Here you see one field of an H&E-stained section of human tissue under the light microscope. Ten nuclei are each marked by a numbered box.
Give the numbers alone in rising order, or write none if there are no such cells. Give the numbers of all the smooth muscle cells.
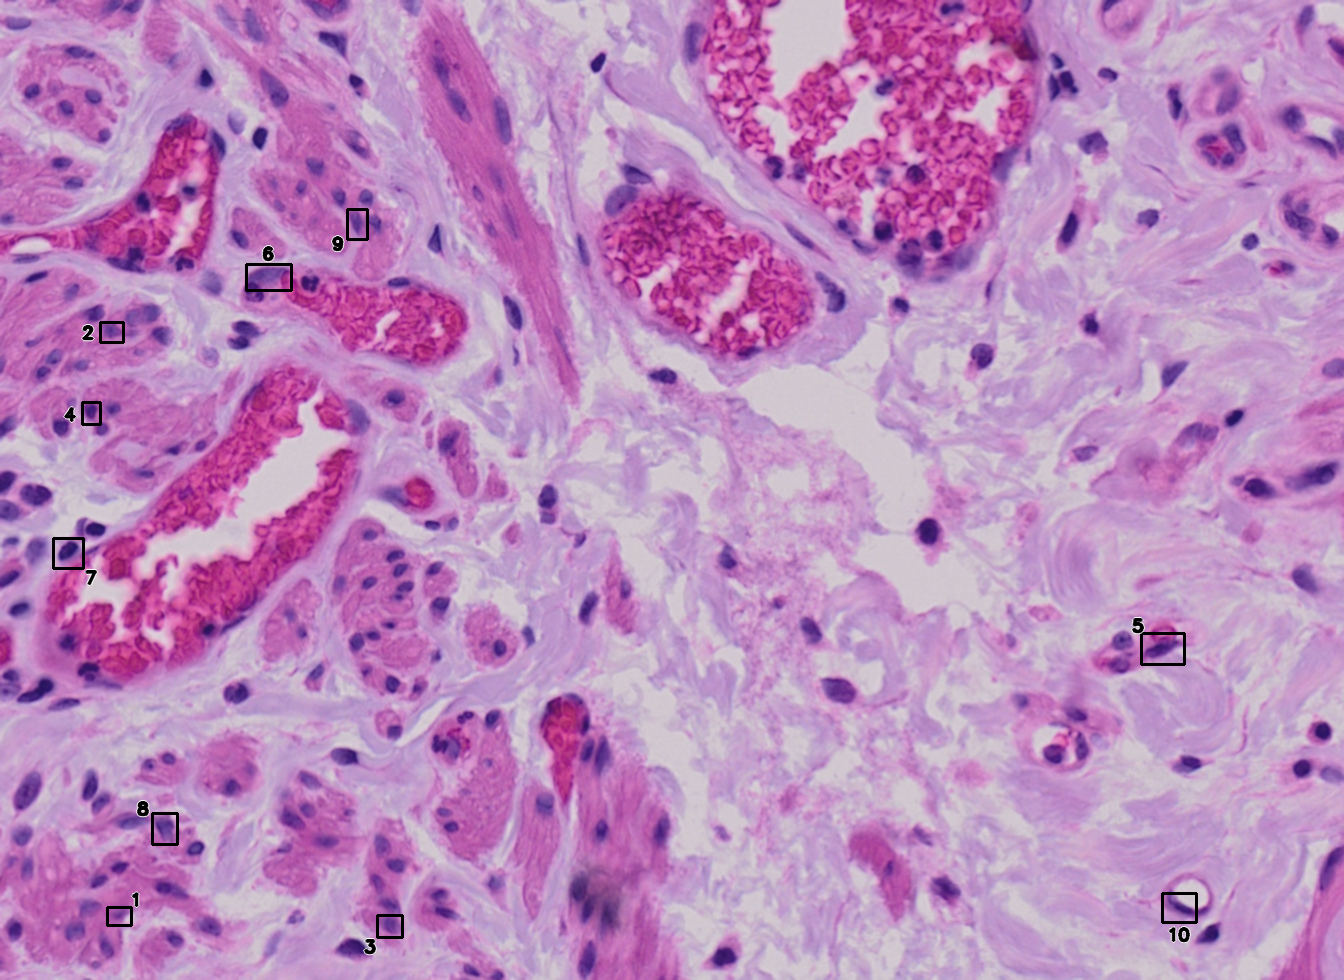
1, 2, 3, 4, 8, 9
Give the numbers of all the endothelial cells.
5, 6, 10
